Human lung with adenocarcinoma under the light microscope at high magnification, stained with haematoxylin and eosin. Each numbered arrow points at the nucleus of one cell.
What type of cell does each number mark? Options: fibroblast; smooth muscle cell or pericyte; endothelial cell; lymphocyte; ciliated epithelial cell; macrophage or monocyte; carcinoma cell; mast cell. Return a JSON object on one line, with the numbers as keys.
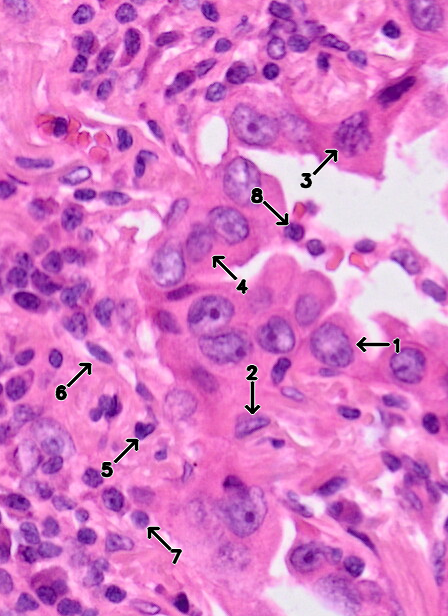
{"1": "carcinoma cell", "2": "fibroblast", "3": "carcinoma cell", "4": "carcinoma cell", "5": "lymphocyte", "6": "lymphocyte", "7": "lymphocyte", "8": "lymphocyte"}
